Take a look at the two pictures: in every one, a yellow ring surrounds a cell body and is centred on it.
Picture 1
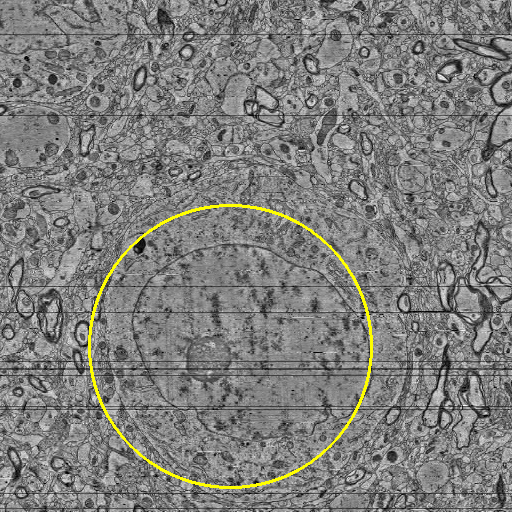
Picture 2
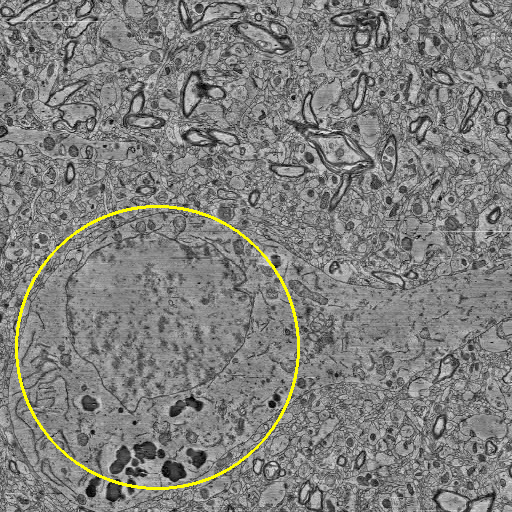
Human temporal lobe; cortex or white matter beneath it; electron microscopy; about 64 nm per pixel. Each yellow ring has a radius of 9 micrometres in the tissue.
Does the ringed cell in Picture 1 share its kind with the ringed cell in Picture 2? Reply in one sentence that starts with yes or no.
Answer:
Yes, the two centred cells, one per picture, are of one kind.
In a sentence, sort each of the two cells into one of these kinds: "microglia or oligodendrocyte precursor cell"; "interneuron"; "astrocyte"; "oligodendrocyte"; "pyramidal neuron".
Each of the two rings surrounds a pyramidal neuron.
